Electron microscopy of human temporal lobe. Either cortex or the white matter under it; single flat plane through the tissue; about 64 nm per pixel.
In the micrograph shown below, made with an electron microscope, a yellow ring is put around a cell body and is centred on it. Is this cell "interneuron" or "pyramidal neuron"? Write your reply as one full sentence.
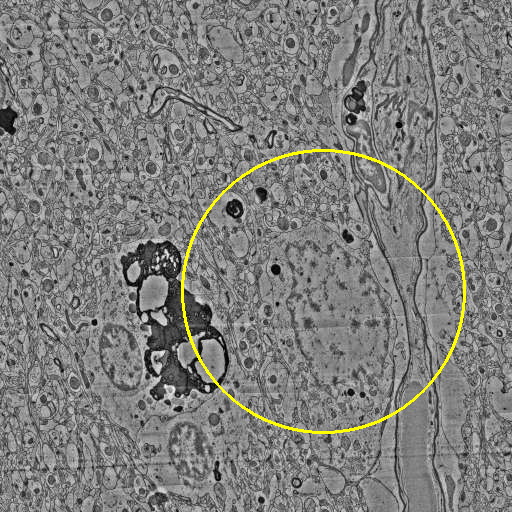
In the micrograph, an interneuron is the cell at the centre of the yellow ring.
